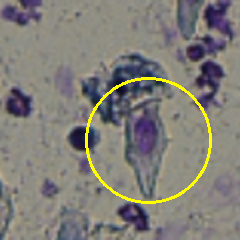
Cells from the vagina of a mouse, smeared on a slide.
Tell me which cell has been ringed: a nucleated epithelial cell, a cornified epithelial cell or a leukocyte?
It is a nucleated epithelial cell.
